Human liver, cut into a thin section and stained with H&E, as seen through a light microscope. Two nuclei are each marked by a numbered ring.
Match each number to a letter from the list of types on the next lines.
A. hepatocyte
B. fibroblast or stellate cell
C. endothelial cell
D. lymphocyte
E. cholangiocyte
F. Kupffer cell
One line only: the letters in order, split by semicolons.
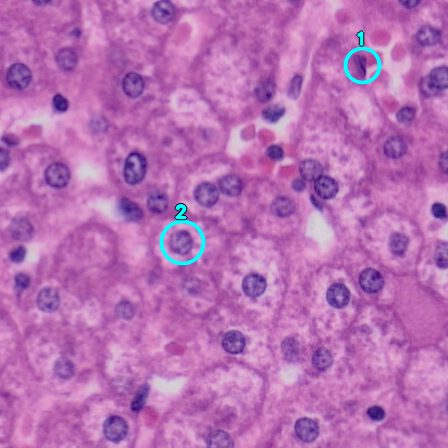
C; A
